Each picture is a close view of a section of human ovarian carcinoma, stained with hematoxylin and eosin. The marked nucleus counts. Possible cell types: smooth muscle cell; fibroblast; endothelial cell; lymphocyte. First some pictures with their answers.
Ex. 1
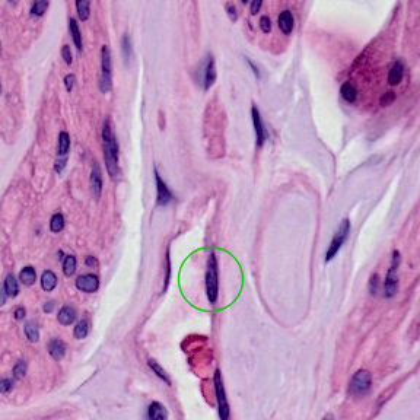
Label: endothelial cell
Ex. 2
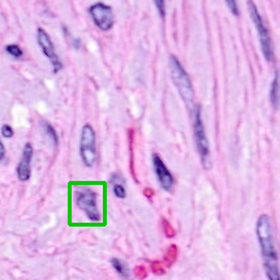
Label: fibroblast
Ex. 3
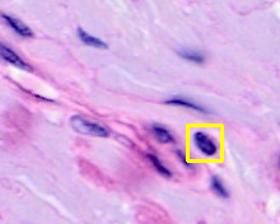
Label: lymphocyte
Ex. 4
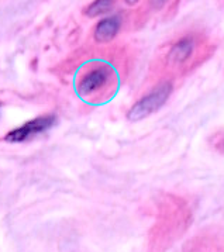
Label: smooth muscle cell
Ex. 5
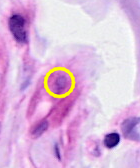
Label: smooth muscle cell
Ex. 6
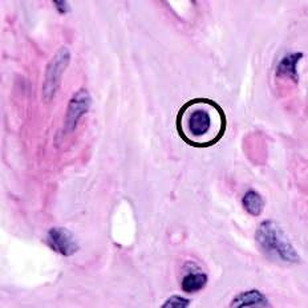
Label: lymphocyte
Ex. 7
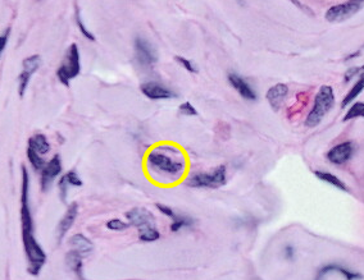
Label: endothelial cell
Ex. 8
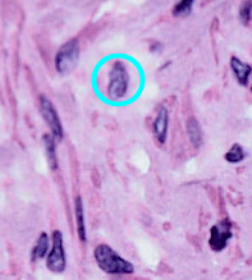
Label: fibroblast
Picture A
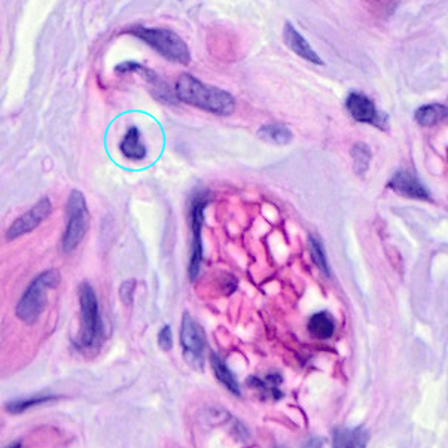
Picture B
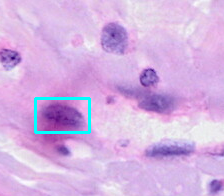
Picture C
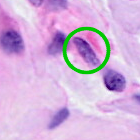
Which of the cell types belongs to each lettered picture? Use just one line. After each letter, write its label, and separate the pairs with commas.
A lymphocyte, B endothelial cell, C endothelial cell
